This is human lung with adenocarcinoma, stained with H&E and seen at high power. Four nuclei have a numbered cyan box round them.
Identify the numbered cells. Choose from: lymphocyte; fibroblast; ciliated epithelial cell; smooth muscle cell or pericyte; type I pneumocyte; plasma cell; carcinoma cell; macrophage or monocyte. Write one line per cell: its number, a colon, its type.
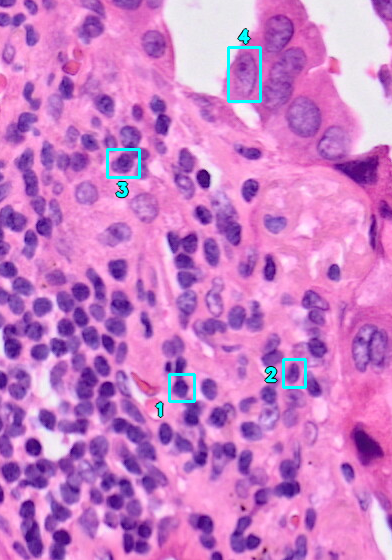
1: lymphocyte
2: lymphocyte
3: lymphocyte
4: carcinoma cell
